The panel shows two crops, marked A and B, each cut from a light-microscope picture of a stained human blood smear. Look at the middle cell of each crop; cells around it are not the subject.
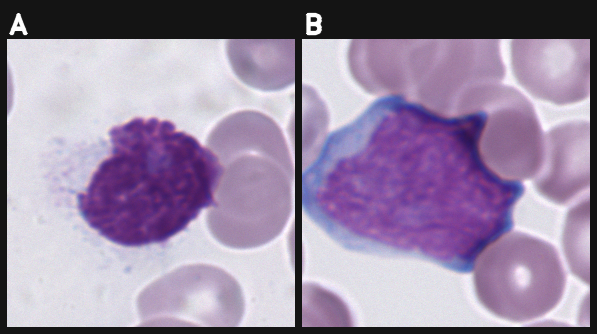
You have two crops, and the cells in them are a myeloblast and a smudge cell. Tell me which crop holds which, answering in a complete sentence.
The centred cell is a smudge cell in crop A and a myeloblast in crop B.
